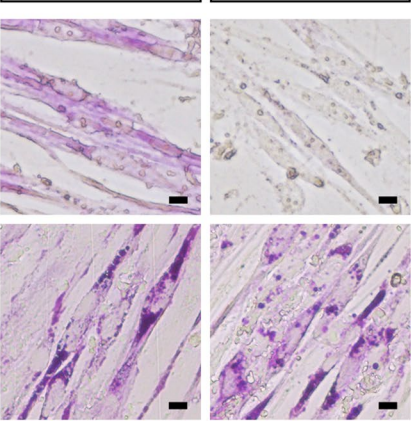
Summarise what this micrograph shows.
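In the upper left image the elongated cells take up an even pink-purple colour along their length. In the upper right image the cells are pale and barely stained, with small refractile specks scattered over them. In the lower row the cells are also elongated, but their cytoplasm holds coarse, dense, dark purple-magenta clumps and granules. These clumps are crowded in some cells and sparse in others, in contrast to the smoother colour of the upper left cells.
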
